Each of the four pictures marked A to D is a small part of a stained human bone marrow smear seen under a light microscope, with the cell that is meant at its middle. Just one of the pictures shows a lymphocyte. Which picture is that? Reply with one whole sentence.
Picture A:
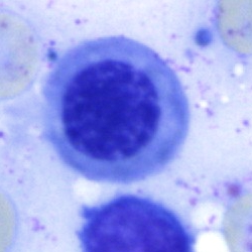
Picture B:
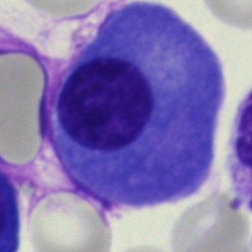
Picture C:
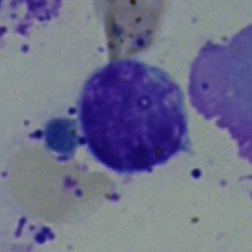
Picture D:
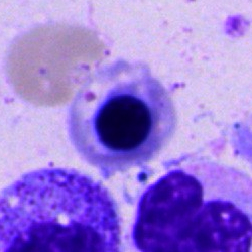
The picture with the lymphocyte is C.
